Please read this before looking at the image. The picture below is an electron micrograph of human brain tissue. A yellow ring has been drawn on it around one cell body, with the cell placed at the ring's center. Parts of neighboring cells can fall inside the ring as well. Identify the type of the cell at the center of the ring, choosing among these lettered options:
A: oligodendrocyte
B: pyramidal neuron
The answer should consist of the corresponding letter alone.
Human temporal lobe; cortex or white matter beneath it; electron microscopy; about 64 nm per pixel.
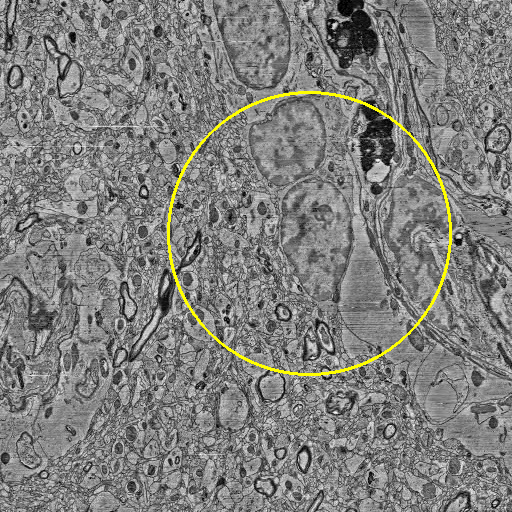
A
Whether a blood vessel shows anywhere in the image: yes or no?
Yes, a vessel appears in the picture.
